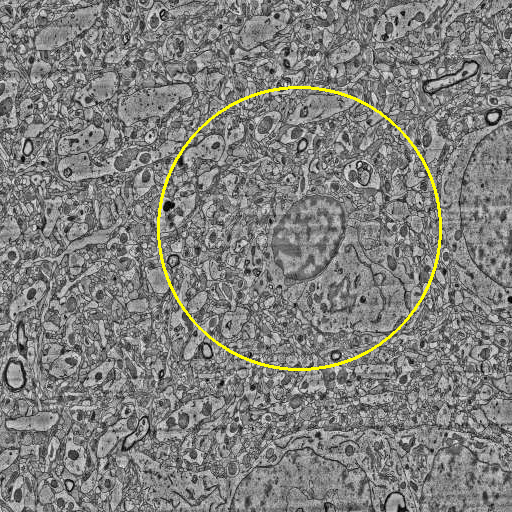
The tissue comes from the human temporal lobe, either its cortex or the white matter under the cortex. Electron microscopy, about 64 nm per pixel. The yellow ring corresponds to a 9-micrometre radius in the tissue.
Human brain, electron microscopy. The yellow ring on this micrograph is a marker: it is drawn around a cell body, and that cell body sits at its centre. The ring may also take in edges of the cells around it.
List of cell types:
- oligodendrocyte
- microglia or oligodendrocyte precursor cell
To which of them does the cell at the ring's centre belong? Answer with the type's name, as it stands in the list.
oligodendrocyte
